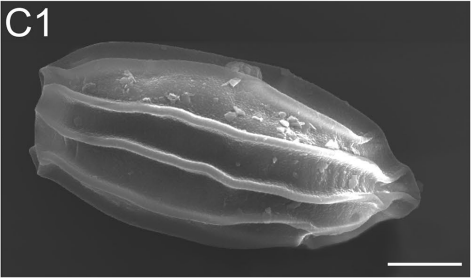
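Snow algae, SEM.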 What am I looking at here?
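An elongated, ellipsoid algal cell lies on its side, tapering toward both ends. Several prominent ridges of the cell wall run lengthwise from one end to the other, separated by smooth grooves, and small particles adhere to the surface.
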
